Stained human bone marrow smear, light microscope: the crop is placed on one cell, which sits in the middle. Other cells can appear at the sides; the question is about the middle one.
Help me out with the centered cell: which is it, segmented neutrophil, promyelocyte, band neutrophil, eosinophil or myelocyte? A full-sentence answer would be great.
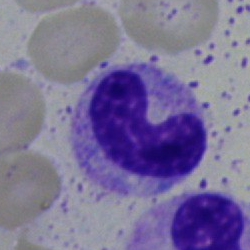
Whatever else lies nearby, the middle cell is a band neutrophil.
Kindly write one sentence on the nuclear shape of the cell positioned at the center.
The cell carries one compact nucleus shaped round, oval or like a kidney.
